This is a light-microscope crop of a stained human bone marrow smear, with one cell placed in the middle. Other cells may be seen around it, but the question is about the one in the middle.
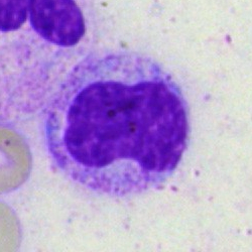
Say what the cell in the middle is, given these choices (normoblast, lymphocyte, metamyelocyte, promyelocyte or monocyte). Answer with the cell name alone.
metamyelocyte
